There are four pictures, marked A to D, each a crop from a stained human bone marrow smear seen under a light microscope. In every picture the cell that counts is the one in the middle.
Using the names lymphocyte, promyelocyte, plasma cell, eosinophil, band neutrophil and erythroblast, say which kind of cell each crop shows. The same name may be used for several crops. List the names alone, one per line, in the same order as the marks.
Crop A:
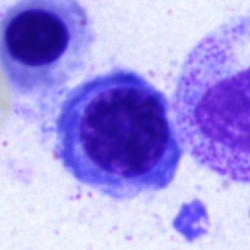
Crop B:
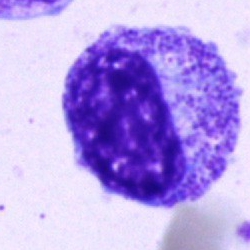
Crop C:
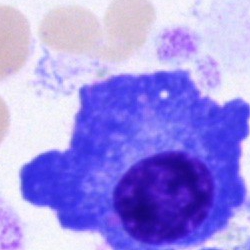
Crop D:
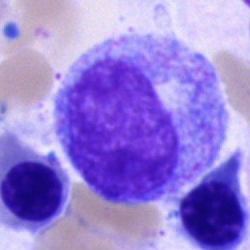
erythroblast
promyelocyte
plasma cell
promyelocyte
